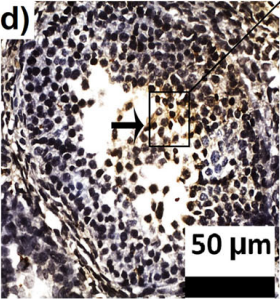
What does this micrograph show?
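Antral follicle with multiple layers of granulosa cells around an irregular central cavity. The granulosa cells are small, round and closely packed, with dark round nuclei and scant cytoplasm. Cells in the layers facing the cavity carry brown cytoplasmic stain, some loosened cells lying at the cavity edge. Flattened spindle-shaped cells form a surrounding rim at the periphery.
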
